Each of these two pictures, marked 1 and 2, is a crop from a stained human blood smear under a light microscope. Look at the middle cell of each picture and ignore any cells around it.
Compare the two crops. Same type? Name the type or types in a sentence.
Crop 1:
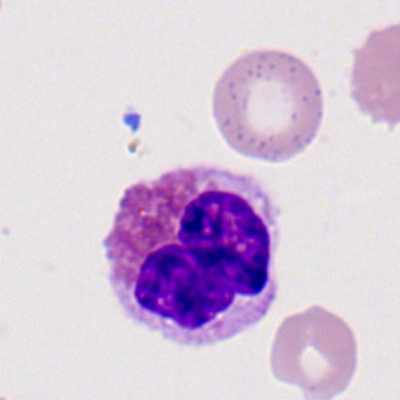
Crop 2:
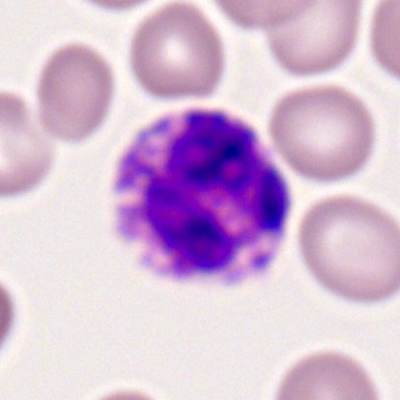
No, on this set crop 1 shows an eosinophil and crop 2 shows a basophil.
